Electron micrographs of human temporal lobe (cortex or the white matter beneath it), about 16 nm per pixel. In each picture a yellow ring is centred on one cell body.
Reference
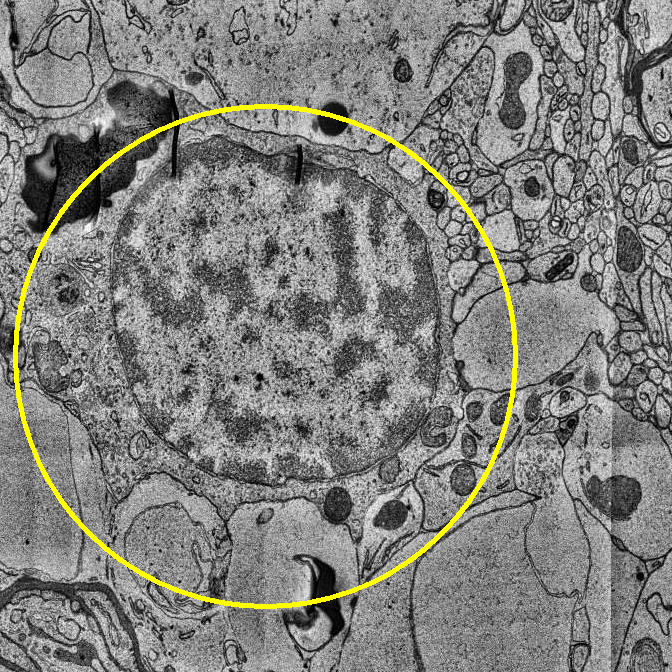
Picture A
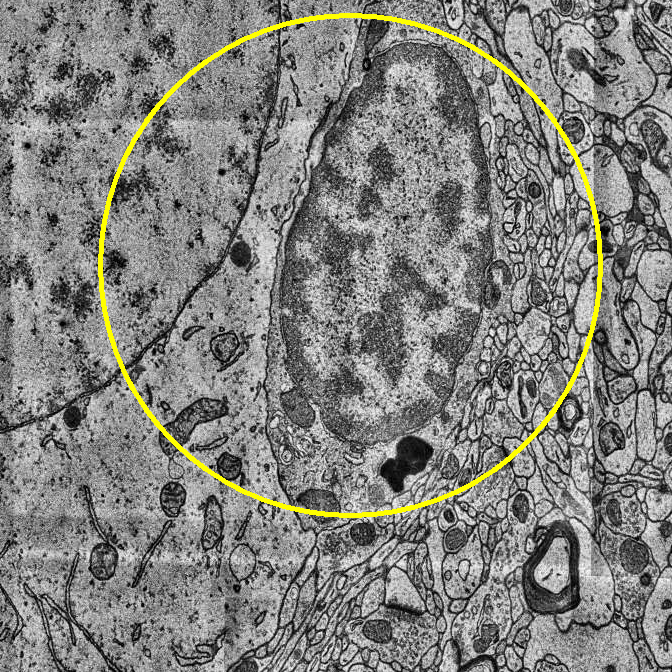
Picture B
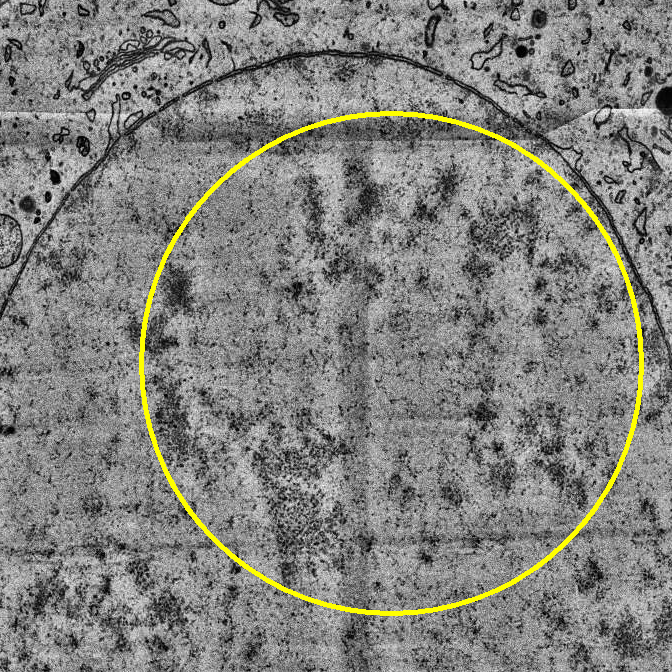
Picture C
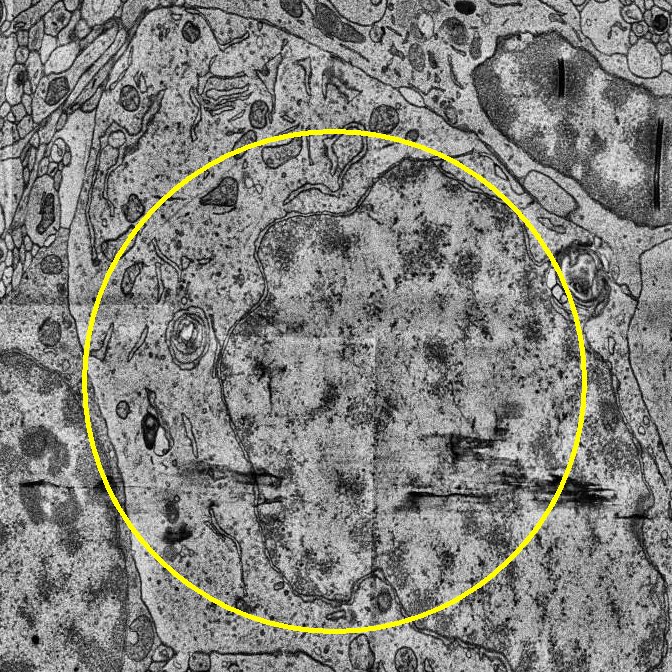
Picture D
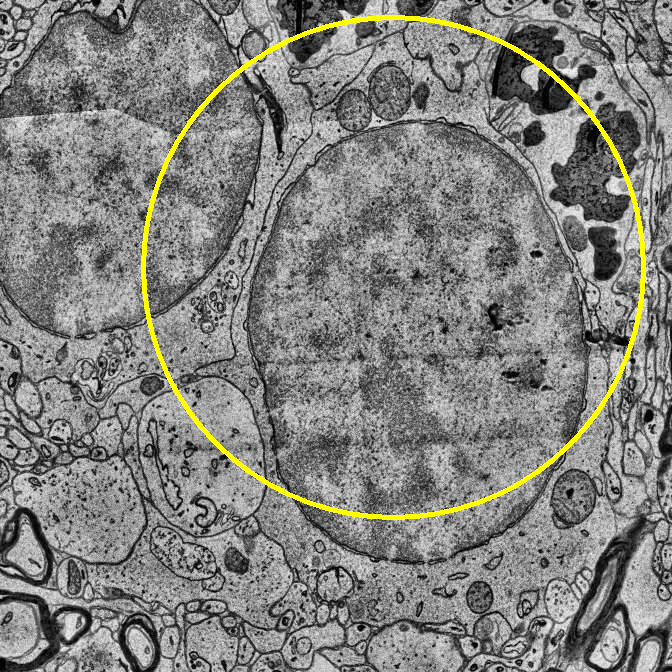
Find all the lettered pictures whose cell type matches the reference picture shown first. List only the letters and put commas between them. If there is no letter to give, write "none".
A, D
